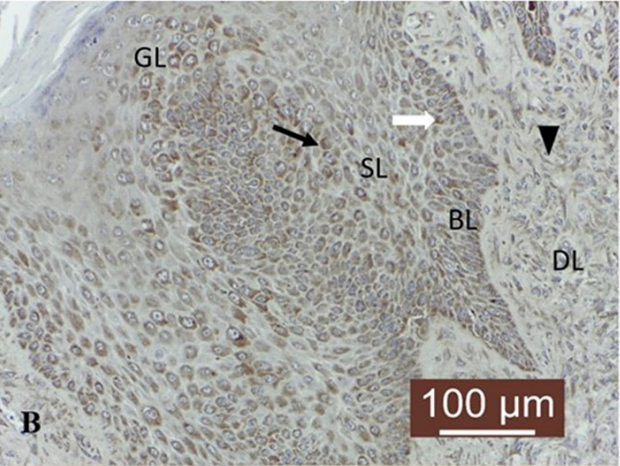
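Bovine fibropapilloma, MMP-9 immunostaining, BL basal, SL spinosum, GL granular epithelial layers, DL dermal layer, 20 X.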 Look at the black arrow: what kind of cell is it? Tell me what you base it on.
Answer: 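Keratinocytes. The arrow points to a cell within a thick stratified epithelium. The cells are polygonal, closely packed, with round central nuclei and brown cytoplasm.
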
